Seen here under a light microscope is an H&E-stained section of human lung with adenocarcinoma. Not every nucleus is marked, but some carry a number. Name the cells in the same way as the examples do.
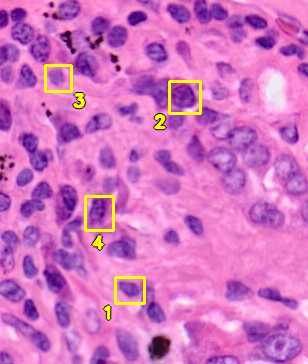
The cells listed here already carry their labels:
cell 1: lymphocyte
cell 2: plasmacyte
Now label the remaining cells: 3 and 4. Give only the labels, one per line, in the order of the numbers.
lymphocyte
plasmacyte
